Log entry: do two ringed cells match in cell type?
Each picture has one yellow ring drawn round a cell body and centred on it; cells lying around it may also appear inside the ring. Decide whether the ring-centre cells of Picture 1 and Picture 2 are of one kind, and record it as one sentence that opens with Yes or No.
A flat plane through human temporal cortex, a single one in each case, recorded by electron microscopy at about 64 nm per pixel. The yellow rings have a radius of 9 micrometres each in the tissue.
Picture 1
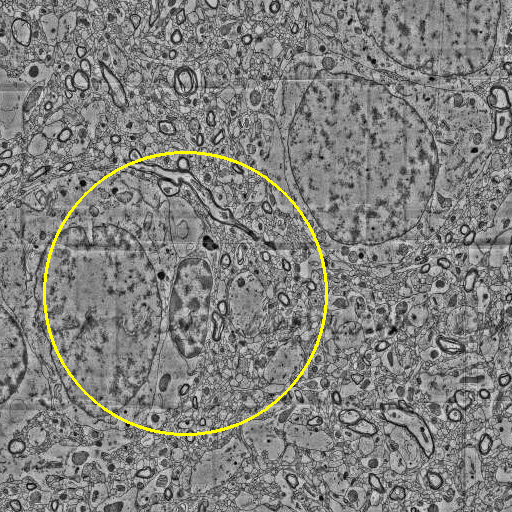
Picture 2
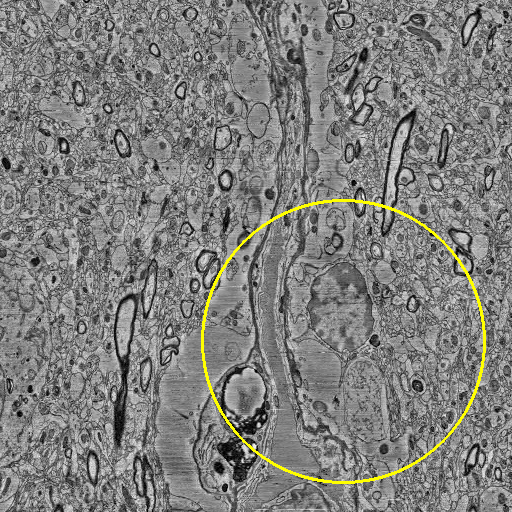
Yes, the cells at the ring centres of the two pictures belong to one kind.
